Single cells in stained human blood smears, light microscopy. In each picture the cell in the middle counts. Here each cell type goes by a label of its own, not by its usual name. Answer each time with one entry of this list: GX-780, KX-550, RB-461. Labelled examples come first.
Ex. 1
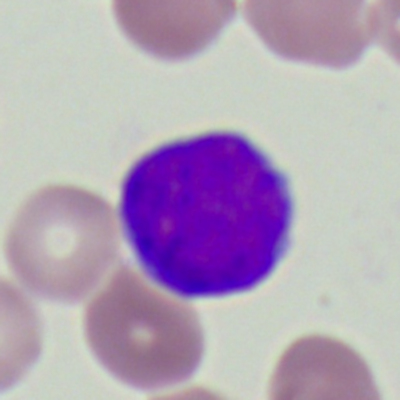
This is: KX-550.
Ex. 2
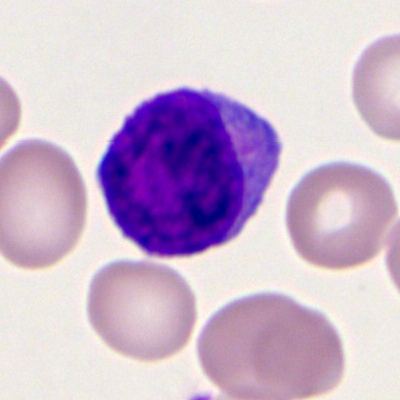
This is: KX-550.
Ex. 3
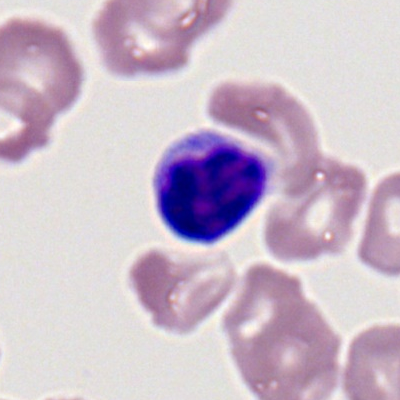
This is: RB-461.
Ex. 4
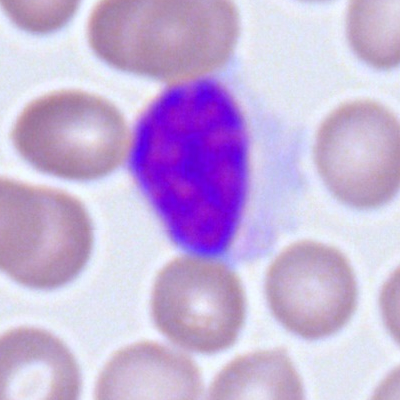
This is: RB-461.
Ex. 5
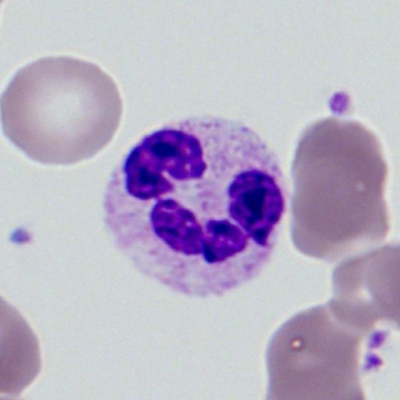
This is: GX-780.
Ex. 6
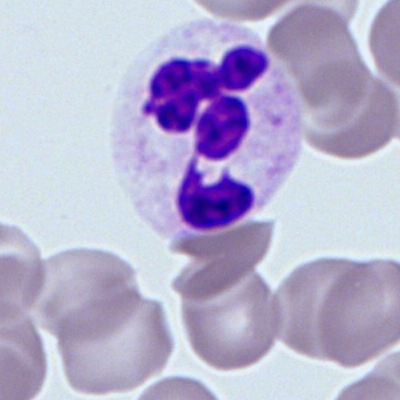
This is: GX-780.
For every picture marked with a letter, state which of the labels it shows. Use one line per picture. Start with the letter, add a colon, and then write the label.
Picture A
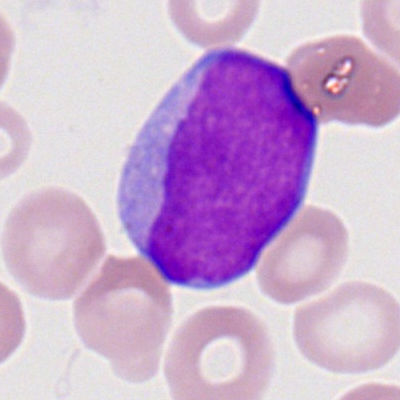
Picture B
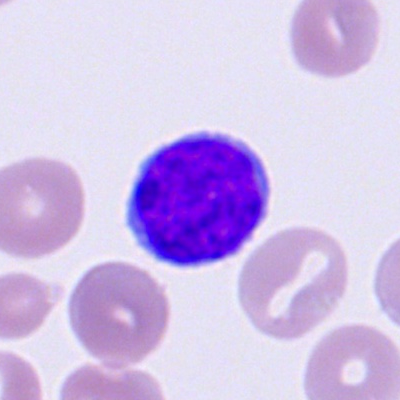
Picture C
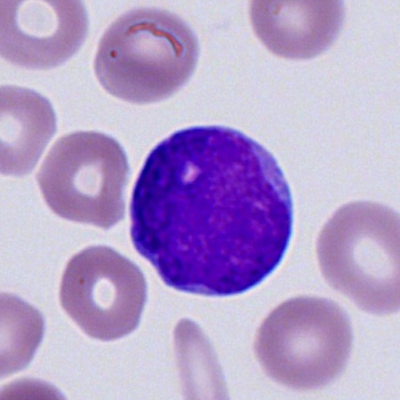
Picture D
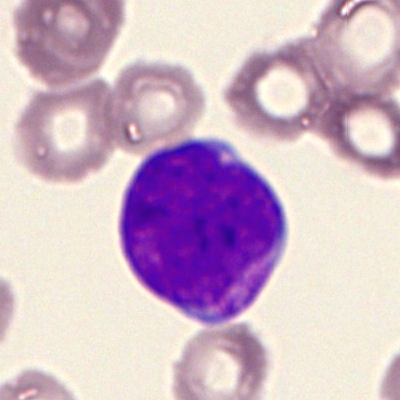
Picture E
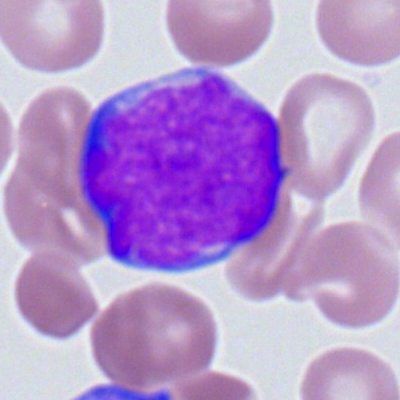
A: KX-550.
B: RB-461.
C: KX-550.
D: KX-550.
E: KX-550.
